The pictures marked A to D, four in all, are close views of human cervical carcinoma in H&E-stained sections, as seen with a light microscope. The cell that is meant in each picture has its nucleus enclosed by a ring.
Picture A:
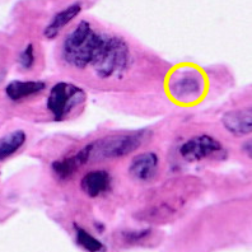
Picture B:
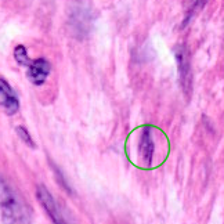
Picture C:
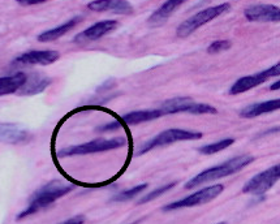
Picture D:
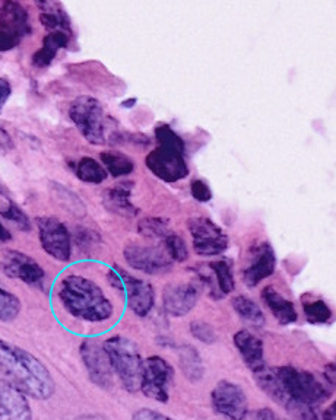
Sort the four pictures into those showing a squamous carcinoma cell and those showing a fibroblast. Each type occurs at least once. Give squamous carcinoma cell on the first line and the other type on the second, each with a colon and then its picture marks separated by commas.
squamous carcinoma cell: A, D
fibroblast: B, C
